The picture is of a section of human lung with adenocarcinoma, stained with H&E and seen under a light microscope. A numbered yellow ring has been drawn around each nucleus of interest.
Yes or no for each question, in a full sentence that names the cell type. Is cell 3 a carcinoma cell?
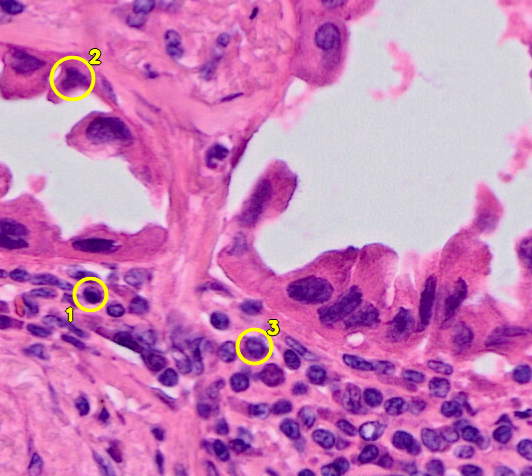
No, instead of a carcinoma cell, the cell with number 3 is a plasma cell.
